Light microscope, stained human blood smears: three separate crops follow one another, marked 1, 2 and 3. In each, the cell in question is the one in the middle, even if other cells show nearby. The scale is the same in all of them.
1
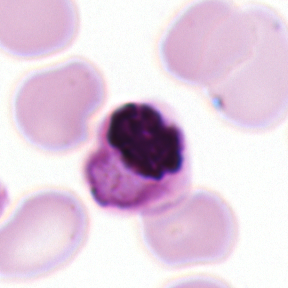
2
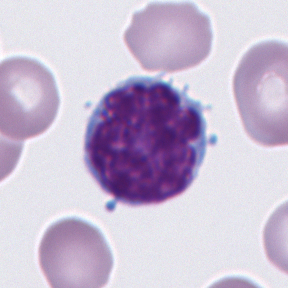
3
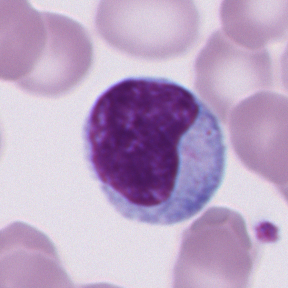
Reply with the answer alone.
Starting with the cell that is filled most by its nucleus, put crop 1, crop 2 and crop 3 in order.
2, 3, 1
